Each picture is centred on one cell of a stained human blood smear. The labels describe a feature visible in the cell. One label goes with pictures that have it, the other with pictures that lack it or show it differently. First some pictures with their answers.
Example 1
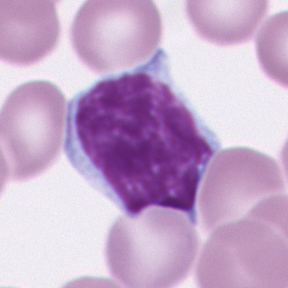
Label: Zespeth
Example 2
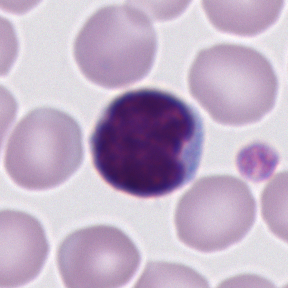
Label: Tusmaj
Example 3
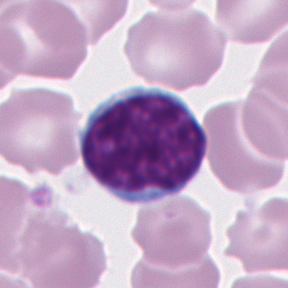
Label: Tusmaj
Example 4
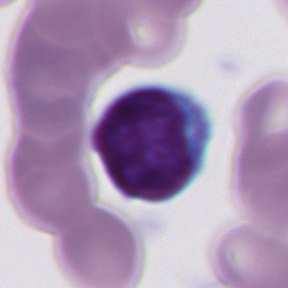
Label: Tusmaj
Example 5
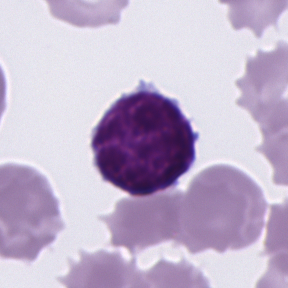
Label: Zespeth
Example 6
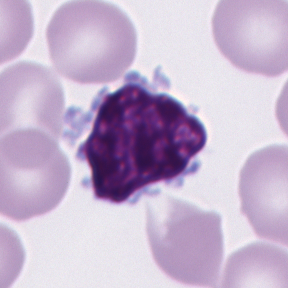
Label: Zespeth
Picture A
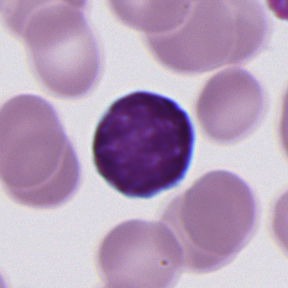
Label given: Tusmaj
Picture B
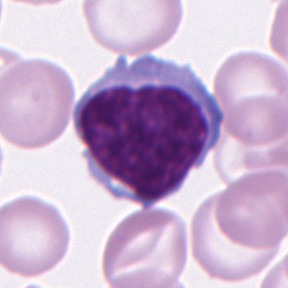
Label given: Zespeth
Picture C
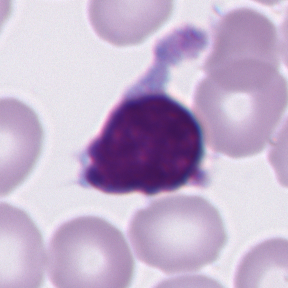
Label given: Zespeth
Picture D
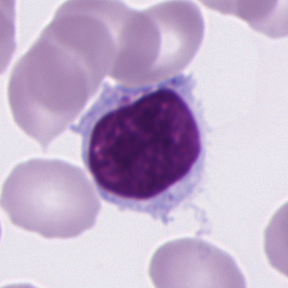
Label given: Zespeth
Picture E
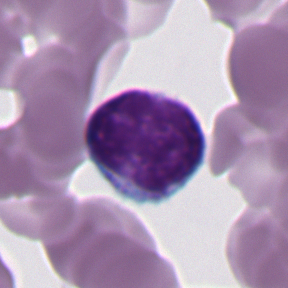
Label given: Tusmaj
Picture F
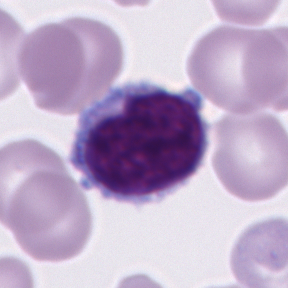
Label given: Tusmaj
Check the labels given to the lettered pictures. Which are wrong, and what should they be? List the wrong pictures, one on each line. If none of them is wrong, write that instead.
Wrong: F (Tusmaj); correct: Zespeth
